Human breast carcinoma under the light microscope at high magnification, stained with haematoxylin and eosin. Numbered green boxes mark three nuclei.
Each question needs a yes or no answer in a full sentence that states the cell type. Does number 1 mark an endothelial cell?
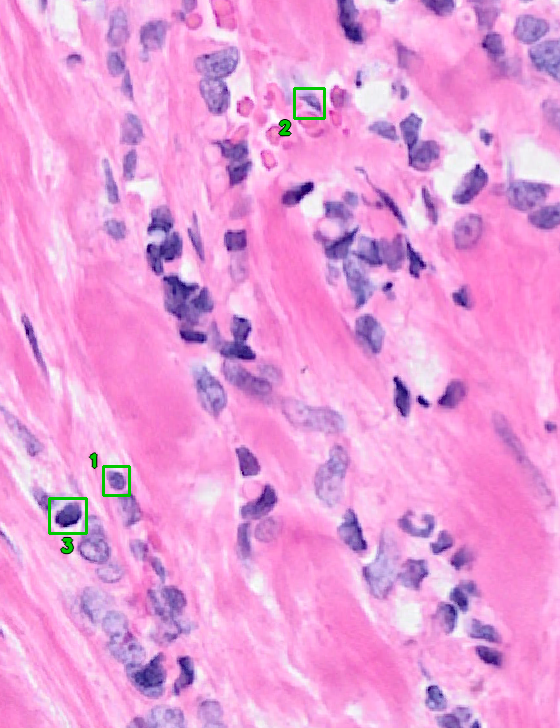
No, cell 1 is not to be taken for an endothelial cell; it is a lymphocyte.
